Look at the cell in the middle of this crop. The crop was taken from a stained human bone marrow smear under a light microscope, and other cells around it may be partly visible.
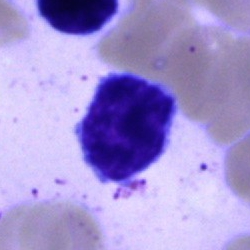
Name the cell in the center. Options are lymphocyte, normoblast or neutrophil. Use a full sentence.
The cell at the centre of the field is a lymphocyte.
